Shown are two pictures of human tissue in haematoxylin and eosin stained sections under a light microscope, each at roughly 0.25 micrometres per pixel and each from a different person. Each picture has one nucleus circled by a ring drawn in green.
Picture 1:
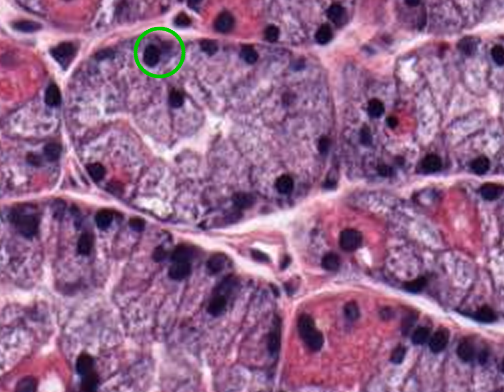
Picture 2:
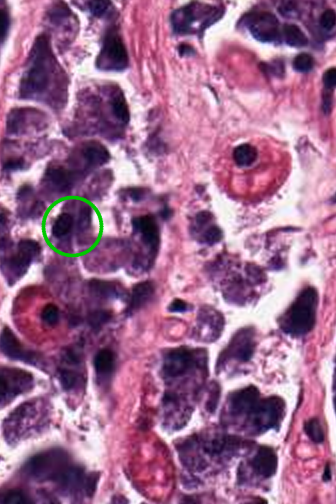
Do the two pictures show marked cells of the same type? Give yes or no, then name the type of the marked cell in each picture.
Yes, both are chief cells.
